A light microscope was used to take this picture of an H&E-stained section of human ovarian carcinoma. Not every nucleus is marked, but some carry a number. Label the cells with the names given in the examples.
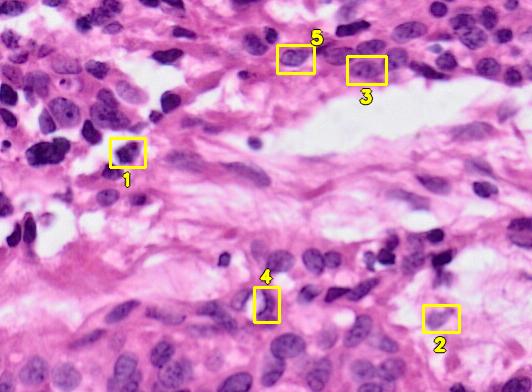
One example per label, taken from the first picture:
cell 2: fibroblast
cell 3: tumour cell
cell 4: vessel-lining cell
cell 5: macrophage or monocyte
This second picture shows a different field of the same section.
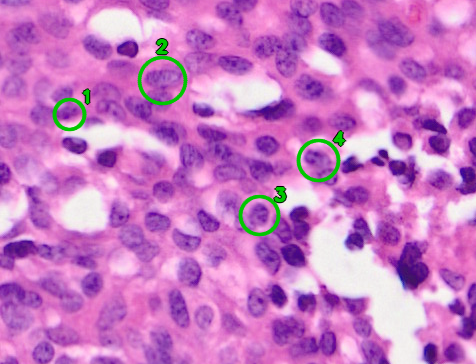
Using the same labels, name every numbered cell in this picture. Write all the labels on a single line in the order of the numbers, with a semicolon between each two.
tumour cell; vessel-lining cell; macrophage or monocyte; macrophage or monocyte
